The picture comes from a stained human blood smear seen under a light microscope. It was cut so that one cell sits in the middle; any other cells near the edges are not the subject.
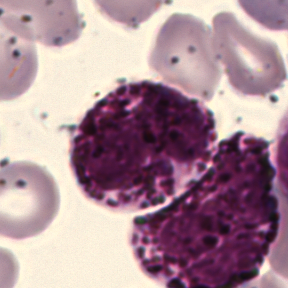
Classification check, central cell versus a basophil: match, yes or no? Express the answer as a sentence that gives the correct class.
Yes, the cell positioned in the middle is a basophil.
